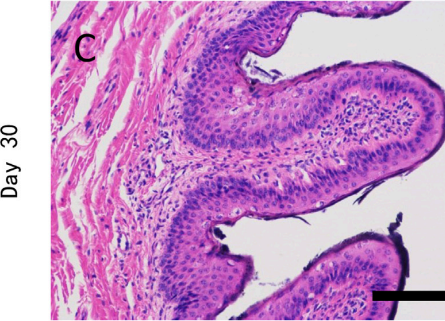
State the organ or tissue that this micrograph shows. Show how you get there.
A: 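Rumen epithelium. A finger-like papilla projects into an open lumen. The papilla is covered by a stratified squamous epithelium several cell layers thick. A core of loose connective tissue runs up the middle of the papilla.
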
